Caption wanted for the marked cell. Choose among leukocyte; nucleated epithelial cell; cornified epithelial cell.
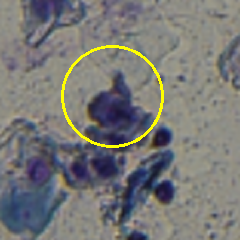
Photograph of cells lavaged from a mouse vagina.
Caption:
Ringed in yellow is a nucleated epithelial cell.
